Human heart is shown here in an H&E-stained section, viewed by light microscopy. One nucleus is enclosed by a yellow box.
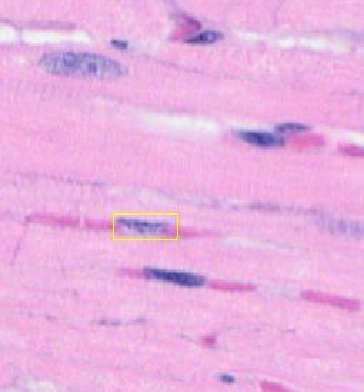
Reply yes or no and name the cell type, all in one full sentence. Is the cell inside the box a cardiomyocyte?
No, in this tissue section, the cell inside the box is not a cardiomyocyte but an endothelial cell.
